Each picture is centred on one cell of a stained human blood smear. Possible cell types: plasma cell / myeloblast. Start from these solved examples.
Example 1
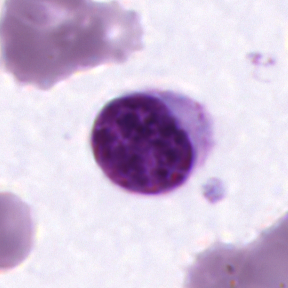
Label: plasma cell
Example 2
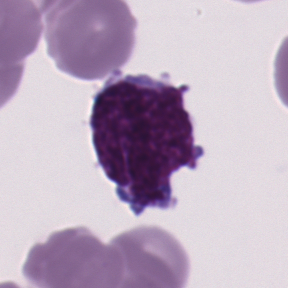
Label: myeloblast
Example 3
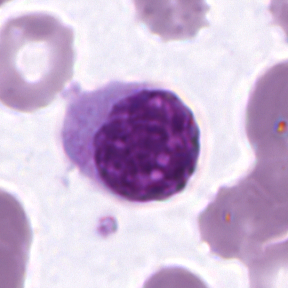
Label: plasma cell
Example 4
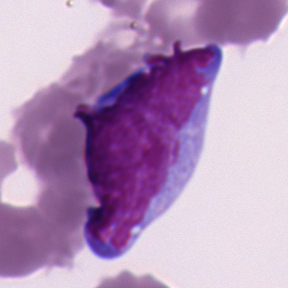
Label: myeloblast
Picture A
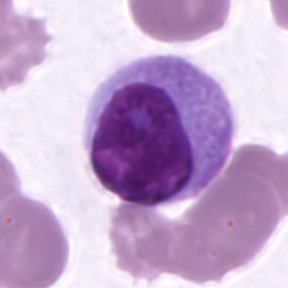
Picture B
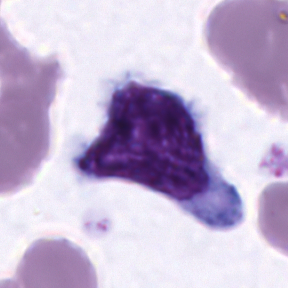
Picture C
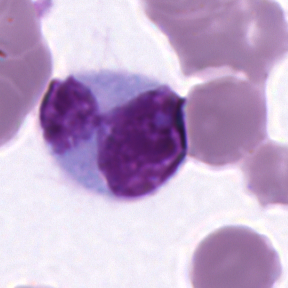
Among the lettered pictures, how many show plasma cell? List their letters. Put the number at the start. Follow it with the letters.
3: A, B, C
